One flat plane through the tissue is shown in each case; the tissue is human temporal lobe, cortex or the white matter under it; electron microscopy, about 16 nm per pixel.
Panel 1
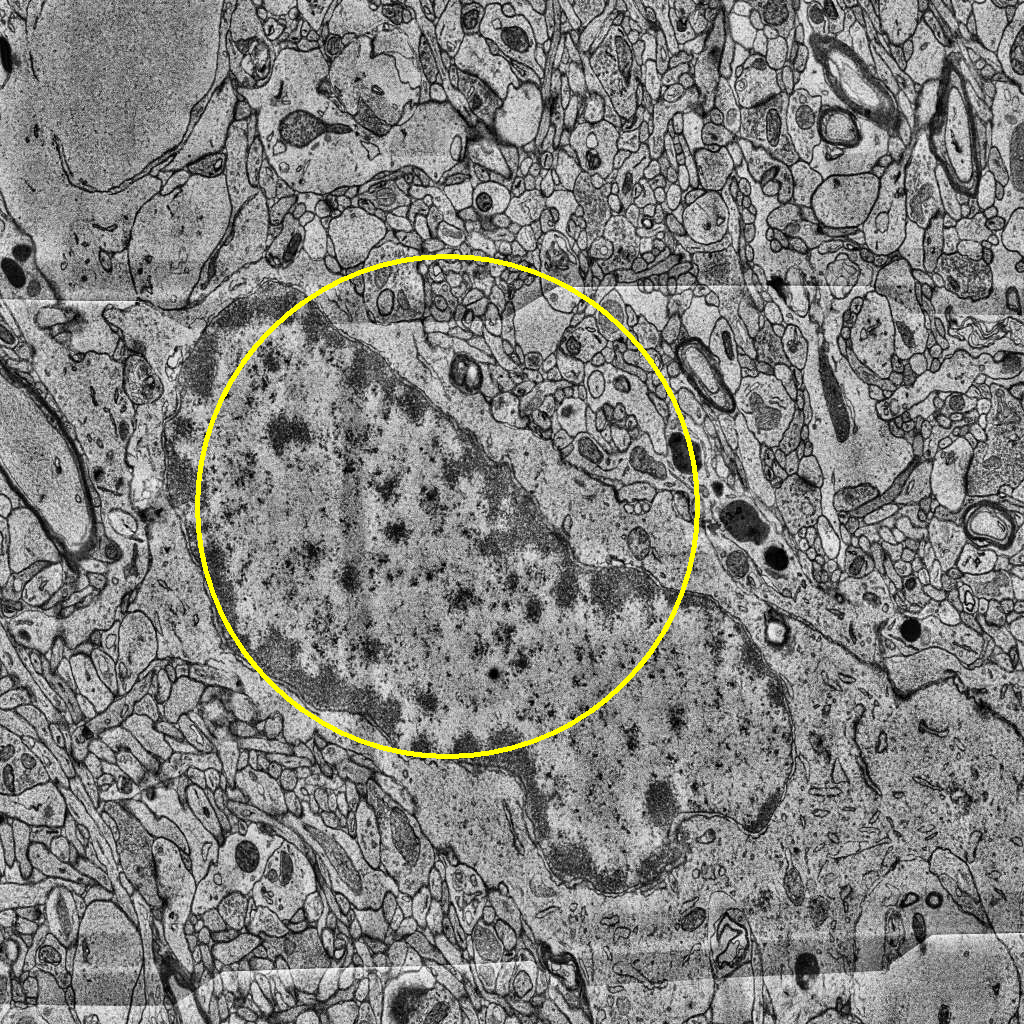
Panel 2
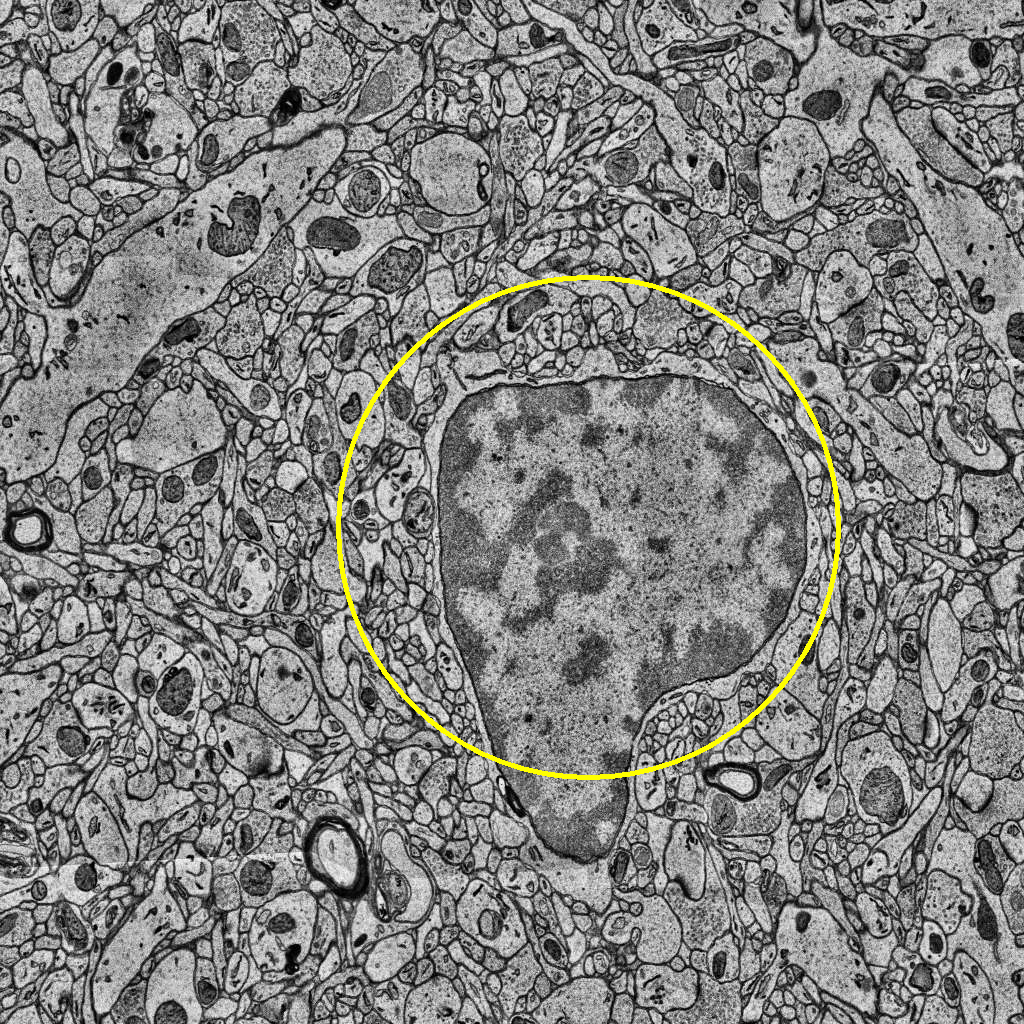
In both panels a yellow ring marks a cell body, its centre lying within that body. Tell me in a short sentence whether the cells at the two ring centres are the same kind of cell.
Yes, they are the same kind of cell.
